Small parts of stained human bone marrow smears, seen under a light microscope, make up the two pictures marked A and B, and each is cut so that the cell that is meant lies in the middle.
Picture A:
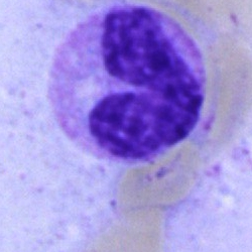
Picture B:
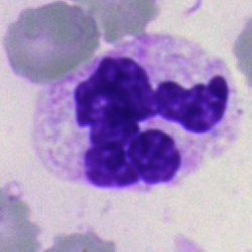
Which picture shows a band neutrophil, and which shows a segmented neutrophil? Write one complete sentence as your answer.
It is picture A that shows a band neutrophil, and picture B that shows a segmented neutrophil.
